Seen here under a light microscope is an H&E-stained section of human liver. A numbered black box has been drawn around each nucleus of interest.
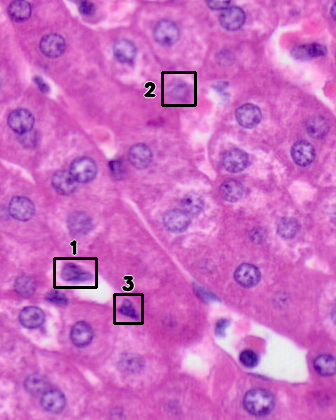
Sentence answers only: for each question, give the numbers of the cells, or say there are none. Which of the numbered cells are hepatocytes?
Cell number 2 alone is a hepatocyte; the rest are not.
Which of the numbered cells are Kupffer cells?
Among the numbered cells, cell 1 alone is a Kupffer cell.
